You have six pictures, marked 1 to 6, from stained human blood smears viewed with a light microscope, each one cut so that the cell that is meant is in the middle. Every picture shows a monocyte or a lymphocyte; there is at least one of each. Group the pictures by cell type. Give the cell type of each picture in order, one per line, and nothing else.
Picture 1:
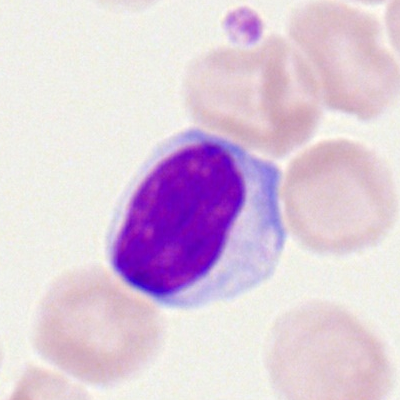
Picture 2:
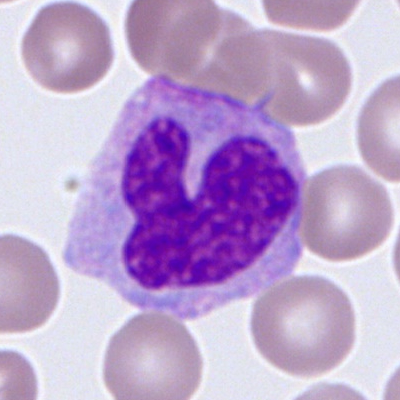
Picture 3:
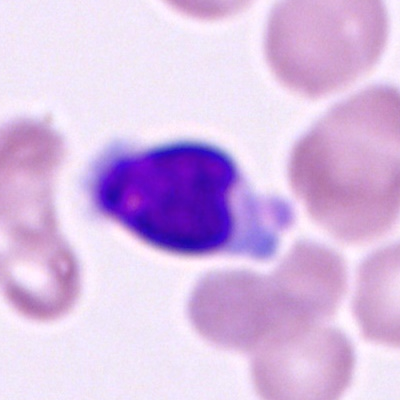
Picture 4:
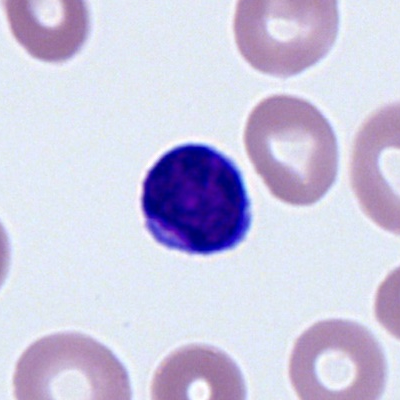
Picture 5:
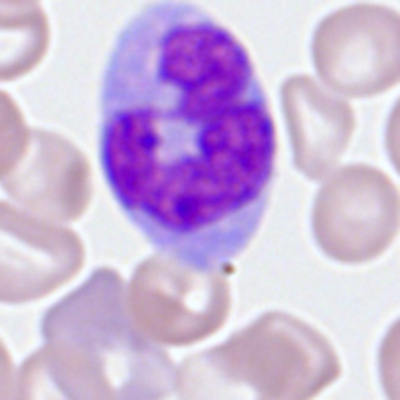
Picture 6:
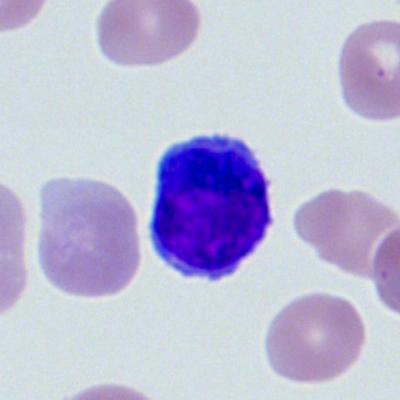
lymphocyte
monocyte
lymphocyte
lymphocyte
monocyte
lymphocyte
